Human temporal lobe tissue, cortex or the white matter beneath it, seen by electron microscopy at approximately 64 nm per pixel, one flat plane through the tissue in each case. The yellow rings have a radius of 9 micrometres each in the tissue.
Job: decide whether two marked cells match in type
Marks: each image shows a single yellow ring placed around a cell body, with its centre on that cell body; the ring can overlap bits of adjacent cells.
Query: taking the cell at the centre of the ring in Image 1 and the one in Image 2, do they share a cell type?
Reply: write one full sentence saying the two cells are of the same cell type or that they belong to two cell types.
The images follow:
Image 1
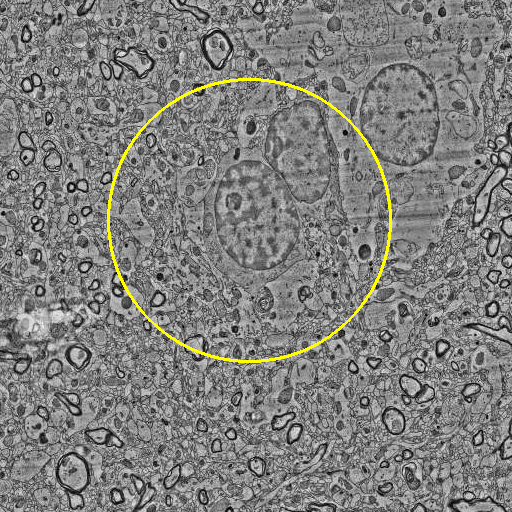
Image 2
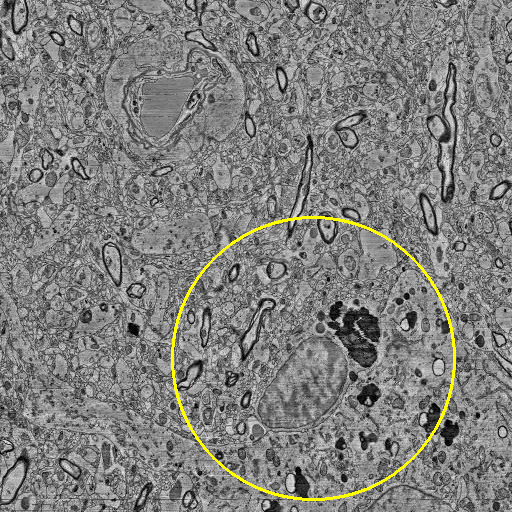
The cells at the ring centres in Image 1 and Image 2 are of the same cell type.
